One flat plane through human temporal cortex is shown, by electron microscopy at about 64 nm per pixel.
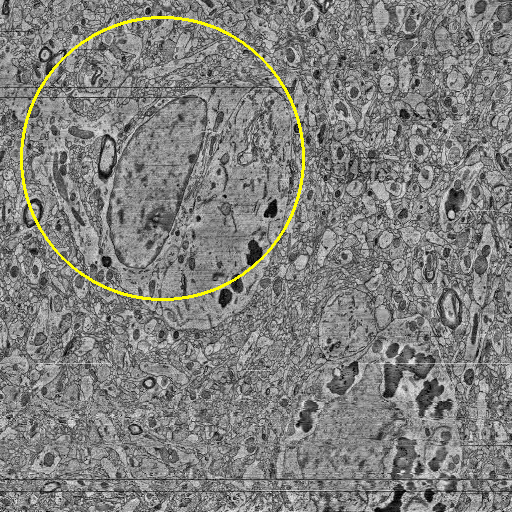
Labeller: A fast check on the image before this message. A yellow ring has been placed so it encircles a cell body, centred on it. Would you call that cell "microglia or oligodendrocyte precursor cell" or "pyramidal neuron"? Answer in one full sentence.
In this image, a microglial cell or oligodendrocyte precursor cell is the cell on which the yellow ring is centred.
